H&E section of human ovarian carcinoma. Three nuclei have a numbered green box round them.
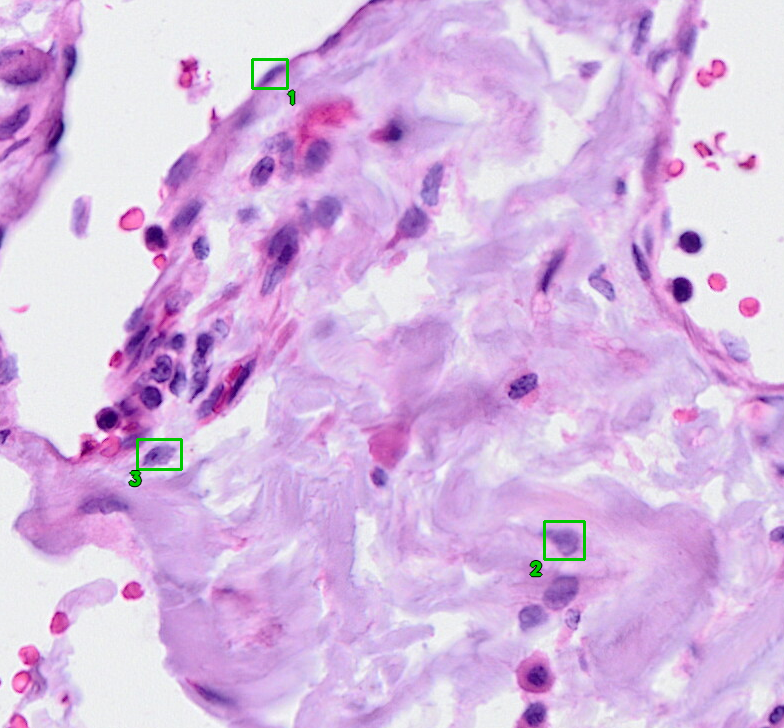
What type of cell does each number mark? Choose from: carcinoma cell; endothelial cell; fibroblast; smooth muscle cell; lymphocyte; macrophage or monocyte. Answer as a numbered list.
1. endothelial cell
2. fibroblast
3. fibroblast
